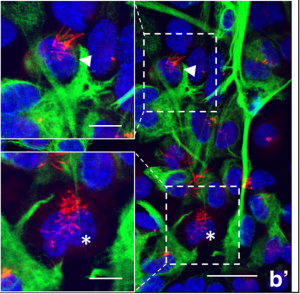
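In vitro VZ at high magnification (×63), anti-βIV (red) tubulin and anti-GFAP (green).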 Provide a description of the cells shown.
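Blue oval nuclei are crowded together, and green filaments run through the cytoplasm of many cells, some drawn out into long slender processes. In several cells short red threads gather at one spot beside the nucleus, forming a tuft rather than a single dot. In the enlarged inset such a tuft sits over a cell with little green about it, while elsewhere a tufted cell lies among green filaments.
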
